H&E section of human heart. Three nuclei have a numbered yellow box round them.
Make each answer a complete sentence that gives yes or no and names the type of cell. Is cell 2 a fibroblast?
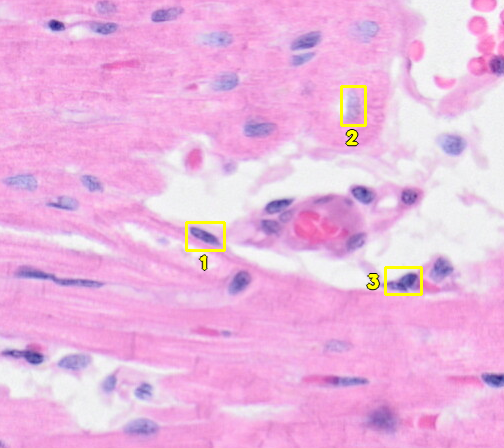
No, cell 2 is to be read as a cardiomyocyte, not a fibroblast.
